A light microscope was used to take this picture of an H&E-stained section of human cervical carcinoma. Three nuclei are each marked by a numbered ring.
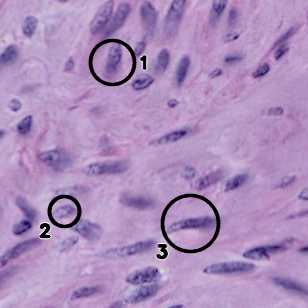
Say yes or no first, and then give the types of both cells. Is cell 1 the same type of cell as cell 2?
Yes, that is right: cells 1 and 2 are both smooth muscle cells.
